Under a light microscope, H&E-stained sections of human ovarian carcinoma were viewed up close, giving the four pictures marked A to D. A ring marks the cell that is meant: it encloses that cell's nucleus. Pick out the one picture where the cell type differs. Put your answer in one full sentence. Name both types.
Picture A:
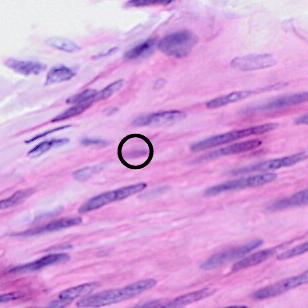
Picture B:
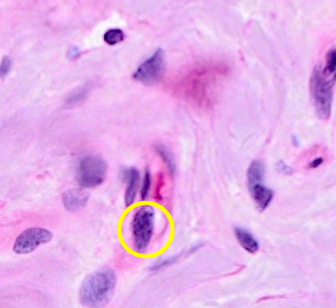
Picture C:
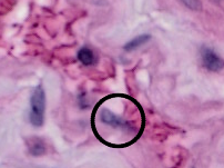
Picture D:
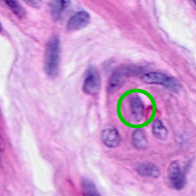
Picture A is the odd one out: it shows a smooth muscle cell, while the others show endothelial cells.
